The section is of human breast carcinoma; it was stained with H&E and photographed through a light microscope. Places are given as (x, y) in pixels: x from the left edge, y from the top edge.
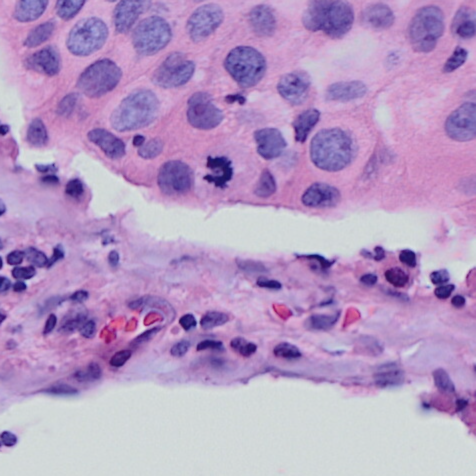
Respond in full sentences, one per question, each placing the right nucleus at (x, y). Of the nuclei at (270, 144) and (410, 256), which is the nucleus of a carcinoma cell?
The nucleus at (270, 144) is attributed to a carcinoma cell, unlike the other nucleus.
